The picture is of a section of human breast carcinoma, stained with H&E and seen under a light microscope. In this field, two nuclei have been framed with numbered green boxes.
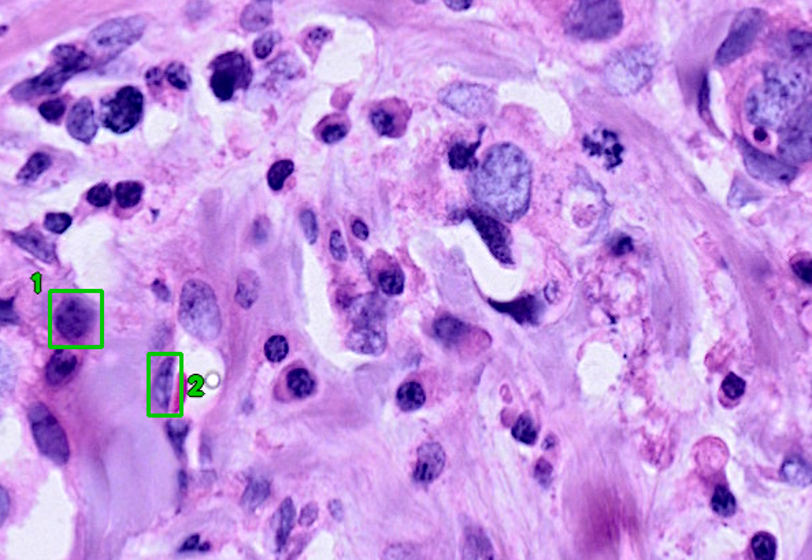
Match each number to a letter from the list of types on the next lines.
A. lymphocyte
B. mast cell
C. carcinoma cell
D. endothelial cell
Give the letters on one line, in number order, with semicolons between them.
C; D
